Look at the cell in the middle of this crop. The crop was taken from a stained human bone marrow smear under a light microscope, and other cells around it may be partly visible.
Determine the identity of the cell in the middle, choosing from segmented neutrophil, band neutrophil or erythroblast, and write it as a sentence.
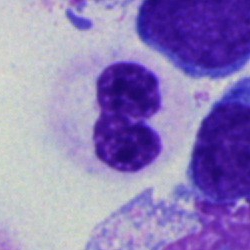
Of the cells in this crop, the central one is a segmented neutrophil.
